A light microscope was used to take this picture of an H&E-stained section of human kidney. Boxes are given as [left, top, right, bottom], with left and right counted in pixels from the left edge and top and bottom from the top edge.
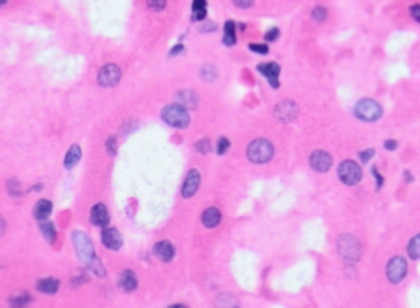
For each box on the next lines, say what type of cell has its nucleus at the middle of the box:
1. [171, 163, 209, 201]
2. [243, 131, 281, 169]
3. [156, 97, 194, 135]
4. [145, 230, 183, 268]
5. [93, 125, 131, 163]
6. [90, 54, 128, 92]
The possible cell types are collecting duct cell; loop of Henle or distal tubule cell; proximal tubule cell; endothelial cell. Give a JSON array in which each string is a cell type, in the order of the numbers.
["loop of Henle or distal tubule cell", "proximal tubule cell", "loop of Henle or distal tubule cell", "loop of Henle or distal tubule cell", "loop of Henle or distal tubule cell", "proximal tubule cell"]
